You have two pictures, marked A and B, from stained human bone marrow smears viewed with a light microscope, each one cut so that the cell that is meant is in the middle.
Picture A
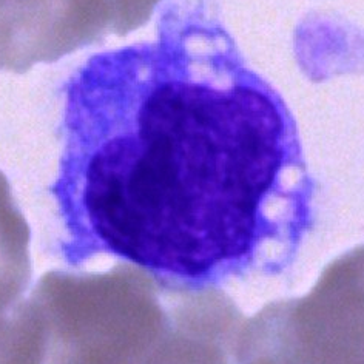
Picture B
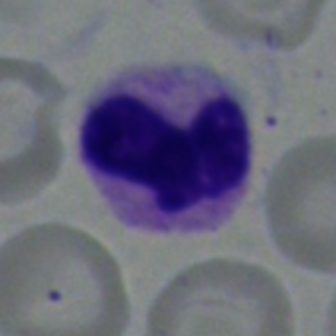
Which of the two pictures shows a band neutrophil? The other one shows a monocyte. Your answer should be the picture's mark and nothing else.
B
